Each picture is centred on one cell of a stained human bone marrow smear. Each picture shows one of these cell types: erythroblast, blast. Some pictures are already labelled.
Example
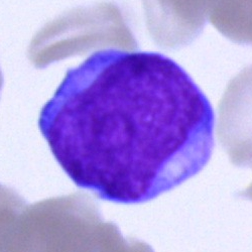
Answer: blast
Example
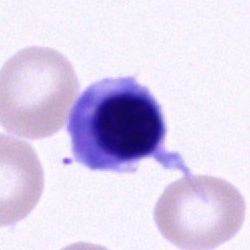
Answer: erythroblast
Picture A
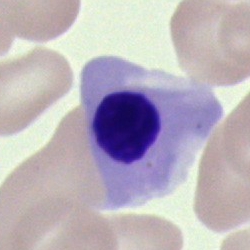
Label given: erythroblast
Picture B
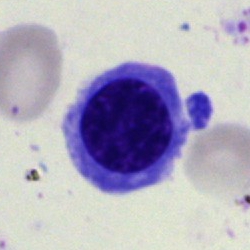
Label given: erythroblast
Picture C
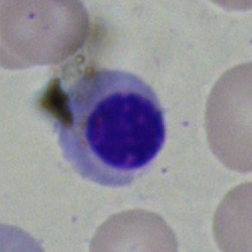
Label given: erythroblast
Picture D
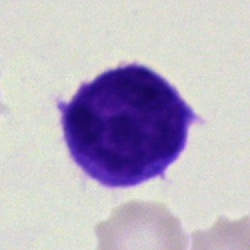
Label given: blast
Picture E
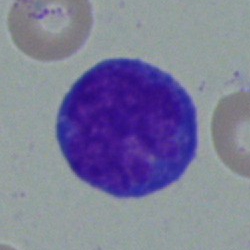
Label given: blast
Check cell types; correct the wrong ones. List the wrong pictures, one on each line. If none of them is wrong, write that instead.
All labels are correct.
